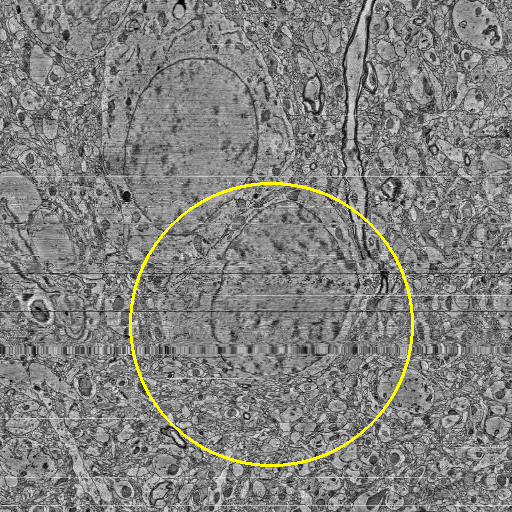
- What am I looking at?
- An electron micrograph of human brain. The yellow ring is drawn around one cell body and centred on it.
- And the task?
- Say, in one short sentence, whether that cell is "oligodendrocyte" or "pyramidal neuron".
The cell in the middle of the ring is a pyramidal neuron.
